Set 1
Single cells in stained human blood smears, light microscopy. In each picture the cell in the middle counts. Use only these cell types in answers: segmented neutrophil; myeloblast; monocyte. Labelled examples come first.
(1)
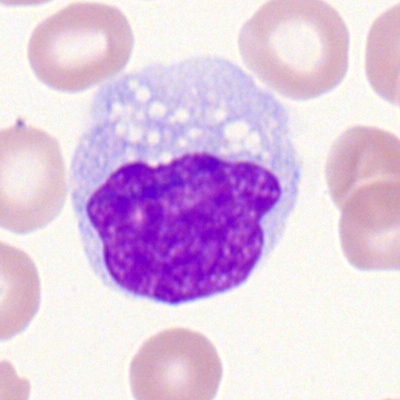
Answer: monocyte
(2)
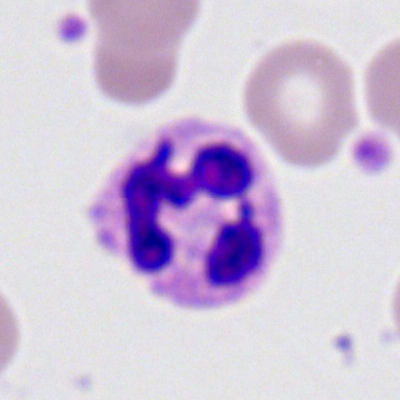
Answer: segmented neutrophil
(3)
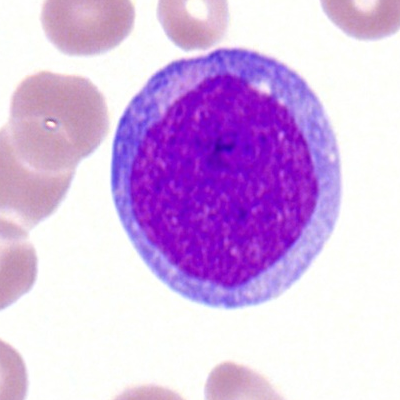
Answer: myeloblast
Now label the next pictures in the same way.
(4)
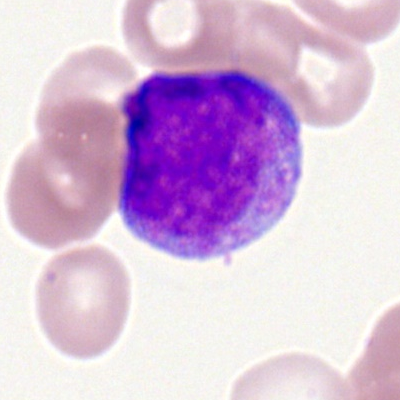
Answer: myeloblast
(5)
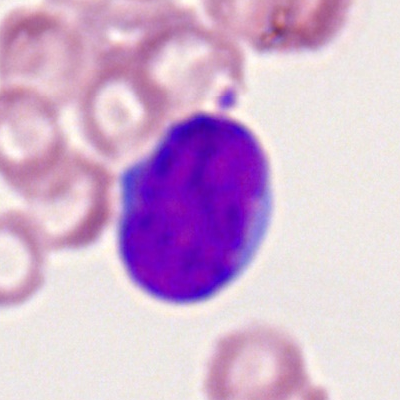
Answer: myeloblast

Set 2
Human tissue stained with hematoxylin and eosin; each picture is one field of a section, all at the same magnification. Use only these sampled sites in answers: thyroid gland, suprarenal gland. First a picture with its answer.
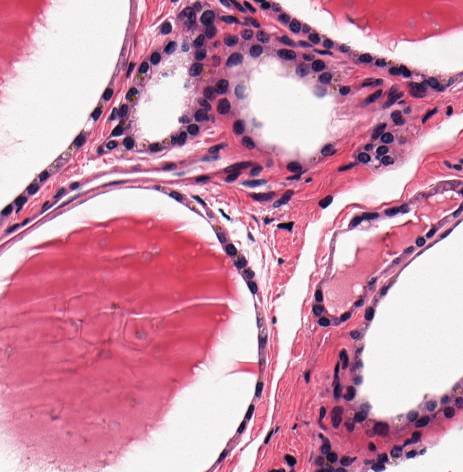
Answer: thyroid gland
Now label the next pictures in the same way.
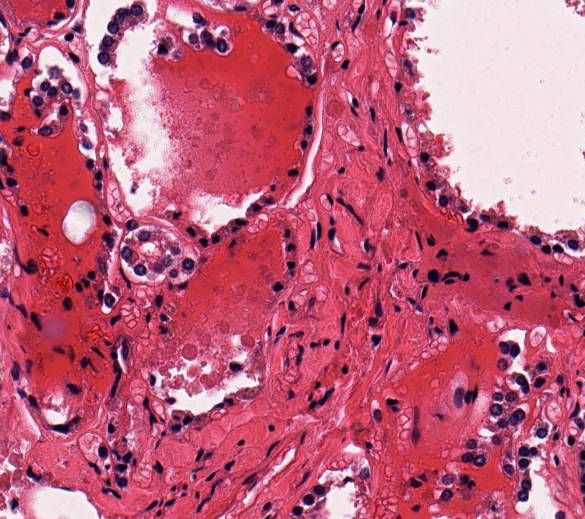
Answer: thyroid gland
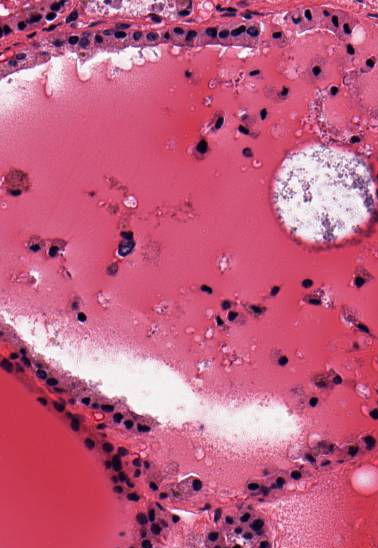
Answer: thyroid gland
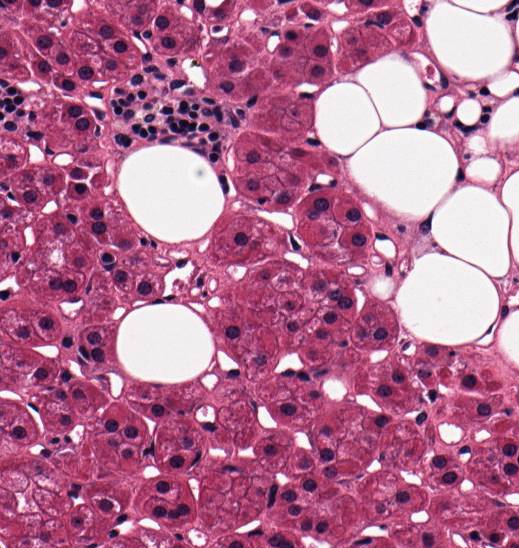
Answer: suprarenal gland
